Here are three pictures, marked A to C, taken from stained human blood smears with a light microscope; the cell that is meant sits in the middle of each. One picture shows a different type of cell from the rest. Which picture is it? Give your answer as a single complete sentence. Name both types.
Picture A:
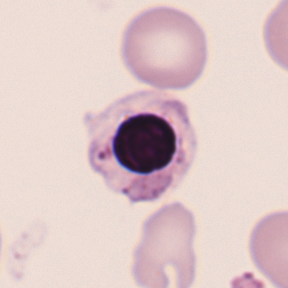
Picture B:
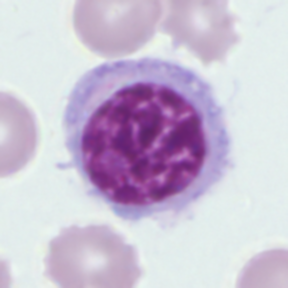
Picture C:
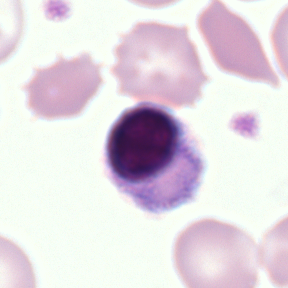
Picture B is the odd one out: it shows a plasma cell, while the others show normoblasts.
